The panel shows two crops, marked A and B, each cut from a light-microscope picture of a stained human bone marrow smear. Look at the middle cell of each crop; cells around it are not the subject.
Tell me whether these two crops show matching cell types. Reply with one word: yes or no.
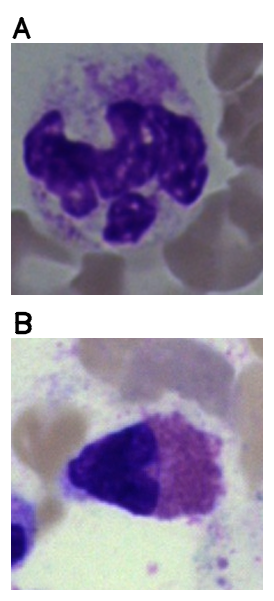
no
